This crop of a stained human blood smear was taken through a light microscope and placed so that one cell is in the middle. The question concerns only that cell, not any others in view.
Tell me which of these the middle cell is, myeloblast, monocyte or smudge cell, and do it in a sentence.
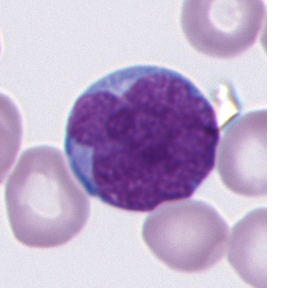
In short, the cell at the center is a myeloblast.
